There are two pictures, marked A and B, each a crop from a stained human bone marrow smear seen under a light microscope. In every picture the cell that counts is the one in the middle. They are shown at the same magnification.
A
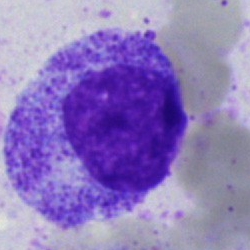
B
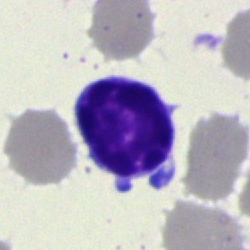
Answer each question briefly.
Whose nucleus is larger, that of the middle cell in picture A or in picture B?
A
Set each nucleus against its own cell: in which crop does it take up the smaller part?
A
